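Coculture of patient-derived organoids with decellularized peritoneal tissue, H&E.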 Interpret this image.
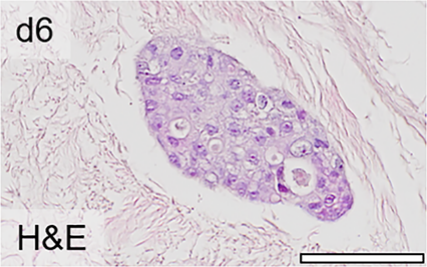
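The cells are closely packed with purple nuclei and pale cytoplasm, and several round clear spaces or small lumina lie within the cluster. A narrow clear gap separates the cluster from the surrounding fibres.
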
